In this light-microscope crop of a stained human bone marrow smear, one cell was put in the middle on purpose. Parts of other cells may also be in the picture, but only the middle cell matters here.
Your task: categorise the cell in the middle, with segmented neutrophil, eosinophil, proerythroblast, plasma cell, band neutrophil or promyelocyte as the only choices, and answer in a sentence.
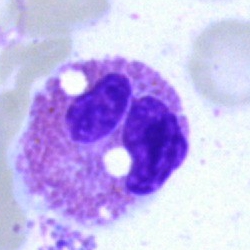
Present in the middle of the crop is an eosinophil.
